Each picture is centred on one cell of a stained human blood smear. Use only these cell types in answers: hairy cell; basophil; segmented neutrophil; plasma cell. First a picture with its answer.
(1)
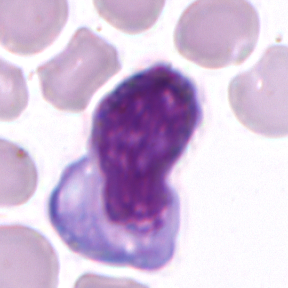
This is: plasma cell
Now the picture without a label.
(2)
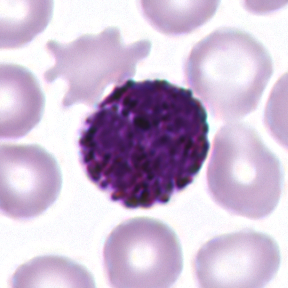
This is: basophil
